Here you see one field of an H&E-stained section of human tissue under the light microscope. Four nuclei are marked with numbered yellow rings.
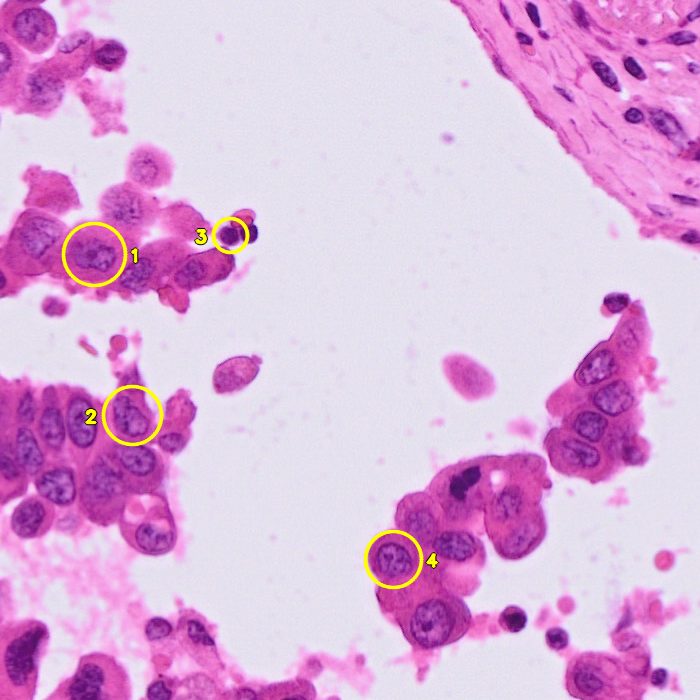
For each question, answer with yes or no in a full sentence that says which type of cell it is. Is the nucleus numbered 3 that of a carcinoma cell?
No, a lymphocyte, not a carcinoma cell, is the cell with number 3.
